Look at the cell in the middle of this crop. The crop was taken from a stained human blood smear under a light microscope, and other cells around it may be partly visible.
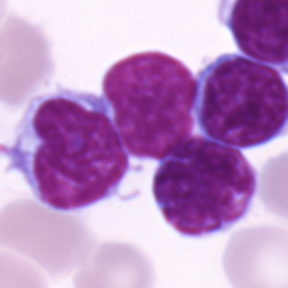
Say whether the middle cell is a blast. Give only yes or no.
yes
